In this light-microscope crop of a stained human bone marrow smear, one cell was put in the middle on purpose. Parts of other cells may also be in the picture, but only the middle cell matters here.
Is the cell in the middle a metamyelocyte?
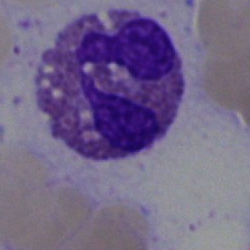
no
